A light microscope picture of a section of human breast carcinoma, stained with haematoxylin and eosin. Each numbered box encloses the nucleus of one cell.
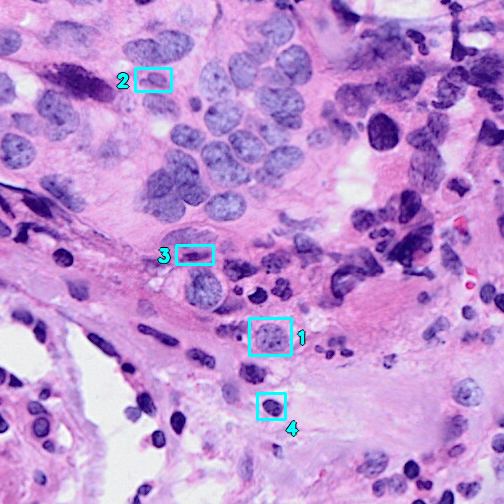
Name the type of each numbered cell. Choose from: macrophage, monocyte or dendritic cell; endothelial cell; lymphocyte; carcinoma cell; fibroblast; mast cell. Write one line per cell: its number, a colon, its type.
1: macrophage, monocyte or dendritic cell
2: carcinoma cell
3: carcinoma cell
4: lymphocyte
